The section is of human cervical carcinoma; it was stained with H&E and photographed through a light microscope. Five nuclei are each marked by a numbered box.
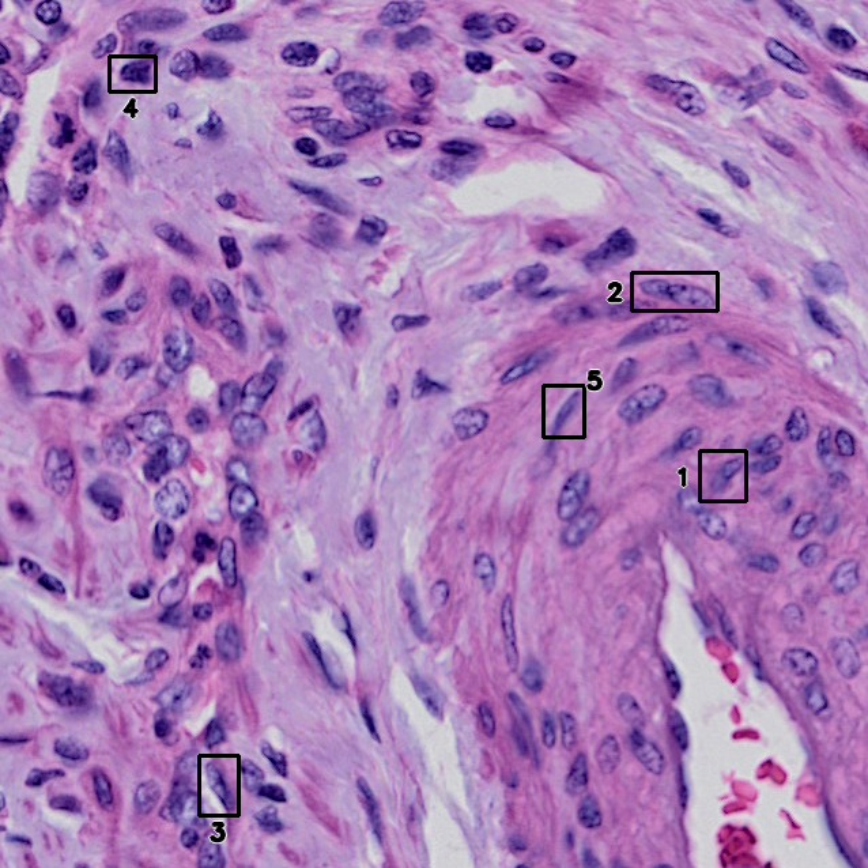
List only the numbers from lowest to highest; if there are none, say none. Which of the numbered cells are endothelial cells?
3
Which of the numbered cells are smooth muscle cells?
1, 2, 5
